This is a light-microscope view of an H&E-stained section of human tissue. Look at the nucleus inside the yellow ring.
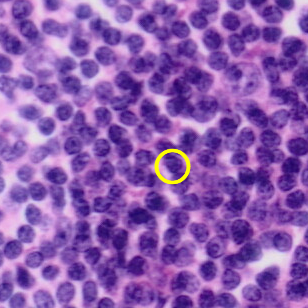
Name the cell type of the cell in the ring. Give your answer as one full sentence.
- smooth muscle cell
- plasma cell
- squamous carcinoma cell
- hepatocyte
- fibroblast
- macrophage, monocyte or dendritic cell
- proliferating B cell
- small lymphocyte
The cell meant here is a small lymphocyte.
